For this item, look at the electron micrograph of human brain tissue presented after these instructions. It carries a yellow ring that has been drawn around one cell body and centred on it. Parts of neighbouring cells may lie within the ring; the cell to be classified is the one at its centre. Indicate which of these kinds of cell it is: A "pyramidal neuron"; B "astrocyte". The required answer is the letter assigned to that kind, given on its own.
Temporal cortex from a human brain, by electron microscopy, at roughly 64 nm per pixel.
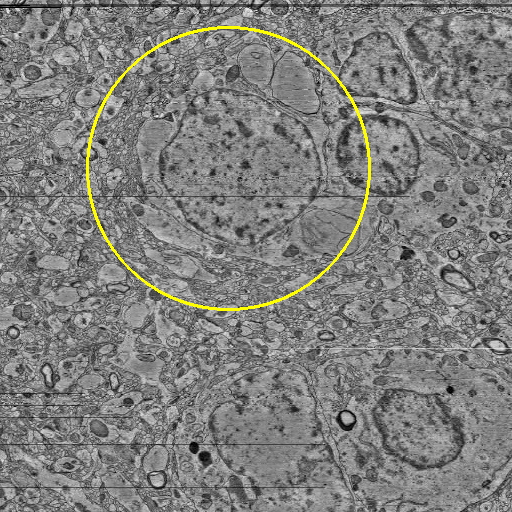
B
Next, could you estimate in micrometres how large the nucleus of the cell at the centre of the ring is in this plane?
The nucleus is approximately 10 micrometers across in this plane.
